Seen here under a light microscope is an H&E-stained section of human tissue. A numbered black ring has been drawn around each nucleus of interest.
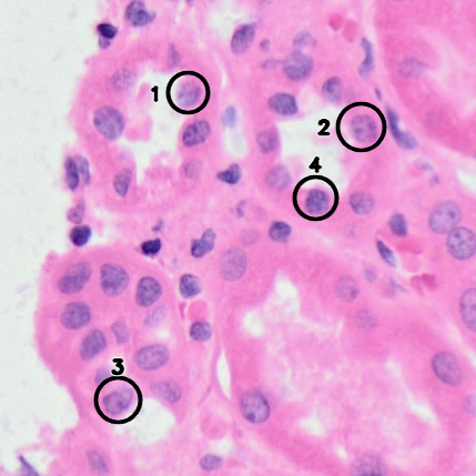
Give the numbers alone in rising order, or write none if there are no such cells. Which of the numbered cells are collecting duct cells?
3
